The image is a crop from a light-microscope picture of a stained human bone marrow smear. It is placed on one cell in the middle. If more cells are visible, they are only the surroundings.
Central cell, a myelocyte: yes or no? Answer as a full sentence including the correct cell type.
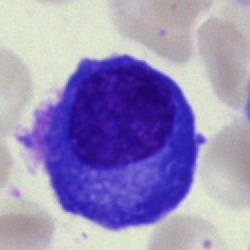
No, the cell placed at the center is a plasma cell rather than a myelocyte.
